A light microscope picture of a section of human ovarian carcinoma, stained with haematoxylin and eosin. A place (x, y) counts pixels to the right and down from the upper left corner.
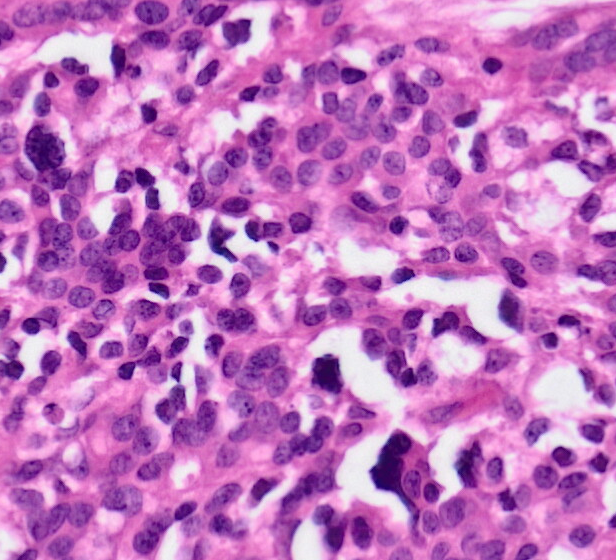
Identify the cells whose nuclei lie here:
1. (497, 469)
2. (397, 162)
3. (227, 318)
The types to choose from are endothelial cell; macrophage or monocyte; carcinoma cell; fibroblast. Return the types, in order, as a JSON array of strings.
["macrophage or monocyte", "macrophage or monocyte", "carcinoma cell"]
